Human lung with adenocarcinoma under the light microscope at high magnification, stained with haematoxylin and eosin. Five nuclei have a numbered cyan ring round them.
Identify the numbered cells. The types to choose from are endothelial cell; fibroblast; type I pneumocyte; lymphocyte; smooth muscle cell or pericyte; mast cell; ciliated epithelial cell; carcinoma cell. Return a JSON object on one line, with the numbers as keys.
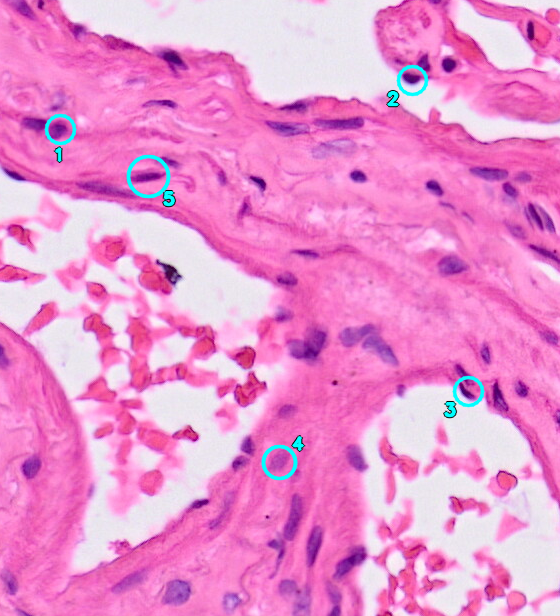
{"1": "smooth muscle cell or pericyte", "2": "type I pneumocyte", "3": "endothelial cell", "4": "smooth muscle cell or pericyte", "5": "smooth muscle cell or pericyte"}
